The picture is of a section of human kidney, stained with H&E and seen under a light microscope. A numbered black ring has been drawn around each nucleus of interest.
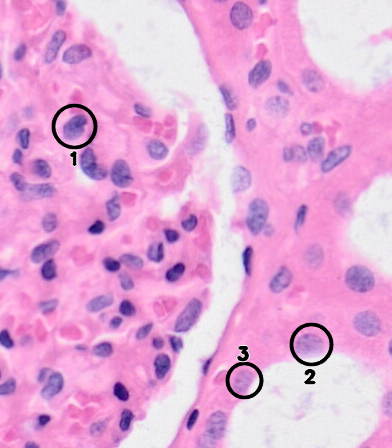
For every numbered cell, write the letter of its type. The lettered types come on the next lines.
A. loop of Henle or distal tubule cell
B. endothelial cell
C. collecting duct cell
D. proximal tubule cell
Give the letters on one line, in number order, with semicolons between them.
B; A; A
